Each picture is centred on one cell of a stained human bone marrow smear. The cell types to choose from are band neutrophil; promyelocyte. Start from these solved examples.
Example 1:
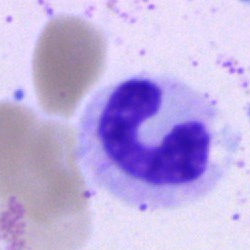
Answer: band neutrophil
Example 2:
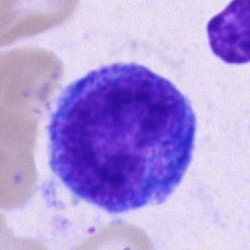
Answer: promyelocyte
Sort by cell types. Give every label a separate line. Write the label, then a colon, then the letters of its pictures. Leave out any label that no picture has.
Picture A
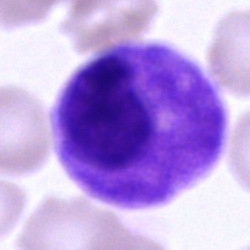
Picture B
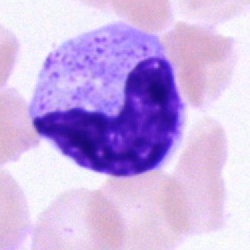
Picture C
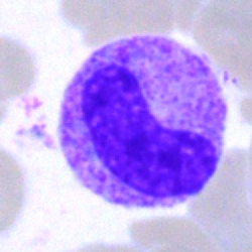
band neutrophil: B, C
promyelocyte: A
